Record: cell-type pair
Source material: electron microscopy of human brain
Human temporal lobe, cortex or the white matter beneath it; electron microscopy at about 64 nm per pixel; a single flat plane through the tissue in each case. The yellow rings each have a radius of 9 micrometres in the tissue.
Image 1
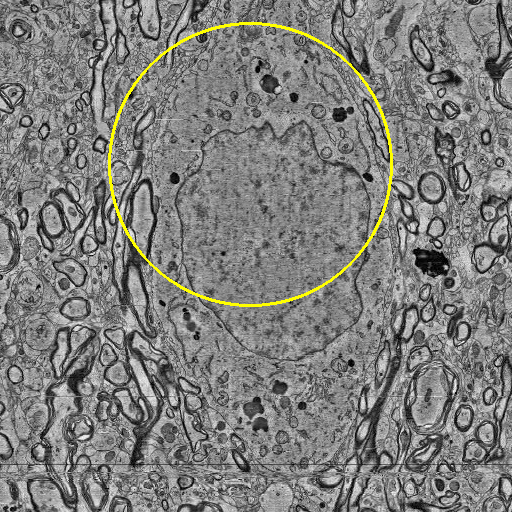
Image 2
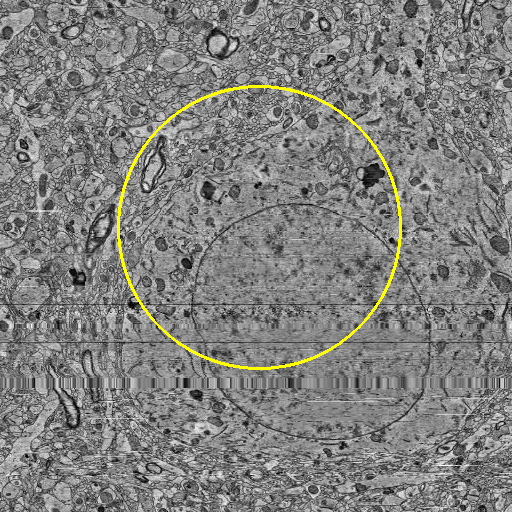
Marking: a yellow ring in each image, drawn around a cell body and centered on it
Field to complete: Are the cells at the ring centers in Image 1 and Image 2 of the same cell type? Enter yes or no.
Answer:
yes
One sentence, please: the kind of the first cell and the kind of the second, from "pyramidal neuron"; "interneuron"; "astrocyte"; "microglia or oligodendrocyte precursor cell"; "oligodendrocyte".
In both pictures the ring is centred on a pyramidal neuron.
